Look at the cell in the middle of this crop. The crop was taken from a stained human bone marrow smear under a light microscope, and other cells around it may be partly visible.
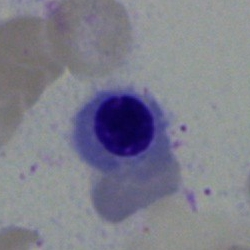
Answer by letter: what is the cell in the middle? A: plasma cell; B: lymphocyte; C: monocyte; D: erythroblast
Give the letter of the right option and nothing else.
D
